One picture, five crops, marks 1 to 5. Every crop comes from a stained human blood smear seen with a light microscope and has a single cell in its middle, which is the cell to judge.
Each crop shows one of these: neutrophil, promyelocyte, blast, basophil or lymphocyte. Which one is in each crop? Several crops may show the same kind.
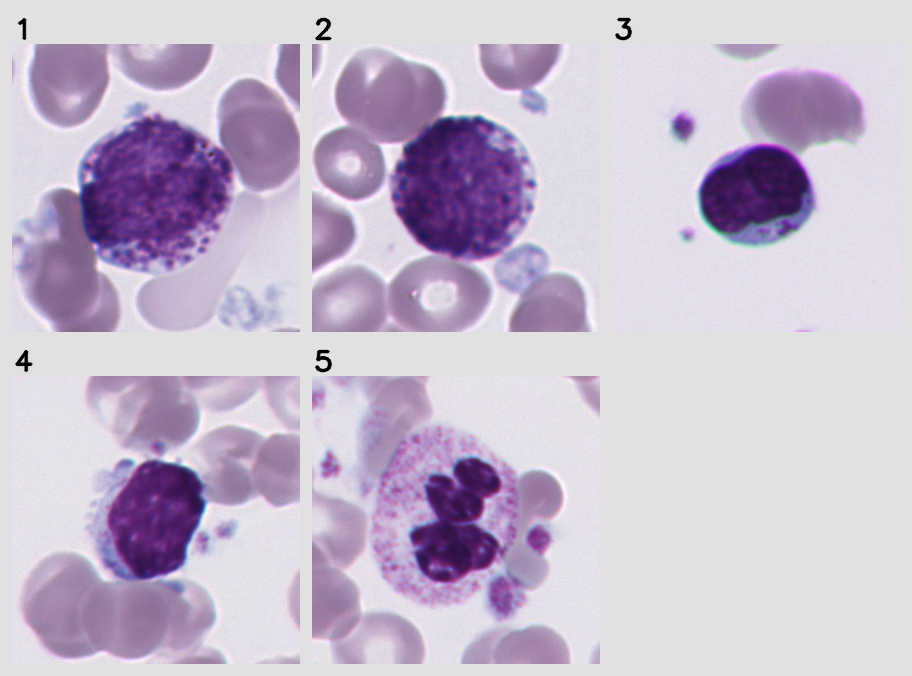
1: basophil
2: basophil
3: lymphocyte
4: lymphocyte
5: neutrophil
